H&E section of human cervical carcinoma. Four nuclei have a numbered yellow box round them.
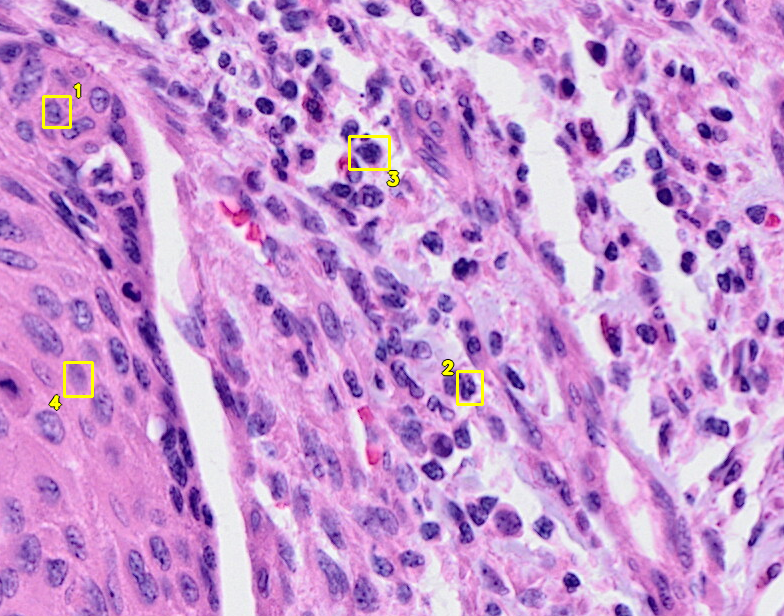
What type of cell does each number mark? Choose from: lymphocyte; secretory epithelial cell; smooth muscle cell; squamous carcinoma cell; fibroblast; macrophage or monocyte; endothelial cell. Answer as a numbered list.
1. squamous carcinoma cell
2. lymphocyte
3. lymphocyte
4. squamous carcinoma cell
